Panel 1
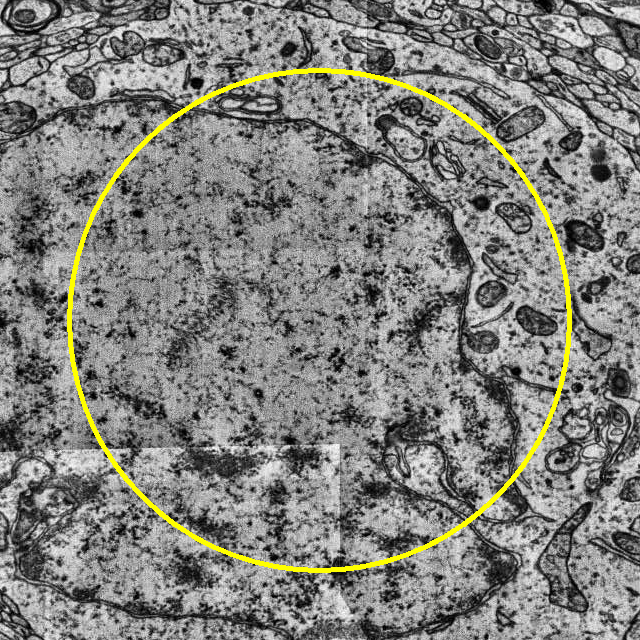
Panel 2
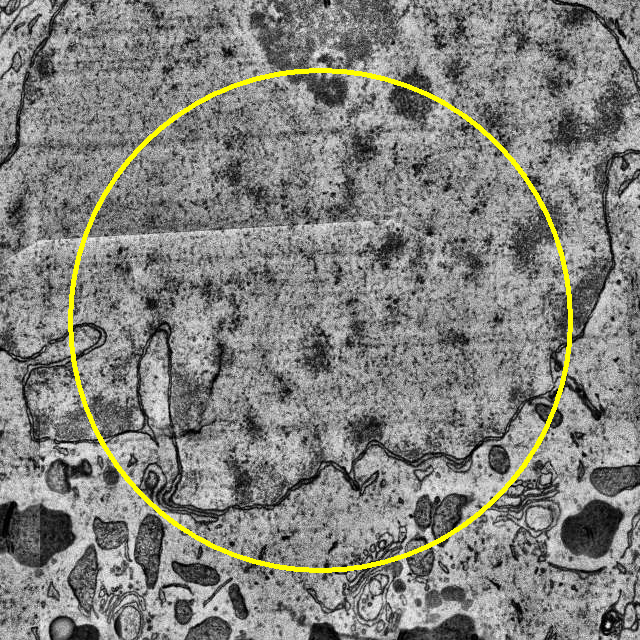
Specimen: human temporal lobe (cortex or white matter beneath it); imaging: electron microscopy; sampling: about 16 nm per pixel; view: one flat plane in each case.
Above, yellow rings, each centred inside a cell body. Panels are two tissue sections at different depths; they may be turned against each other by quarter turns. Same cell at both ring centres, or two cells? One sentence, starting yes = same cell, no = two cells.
No, the two rings were placed on two different cells.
